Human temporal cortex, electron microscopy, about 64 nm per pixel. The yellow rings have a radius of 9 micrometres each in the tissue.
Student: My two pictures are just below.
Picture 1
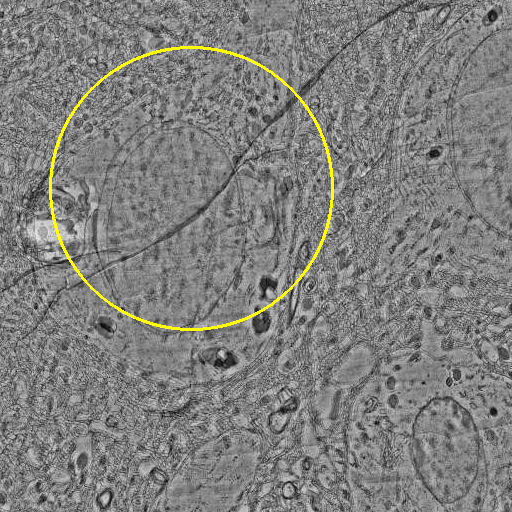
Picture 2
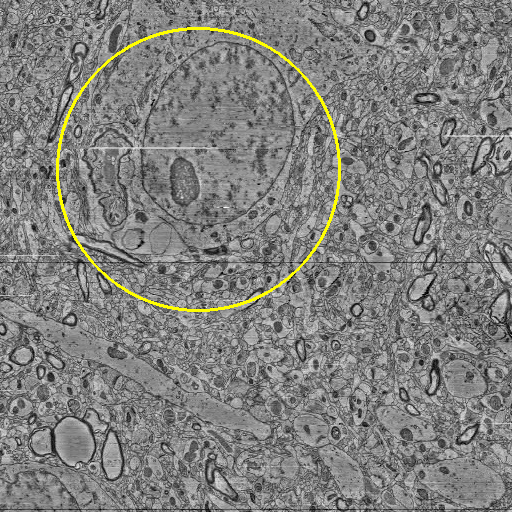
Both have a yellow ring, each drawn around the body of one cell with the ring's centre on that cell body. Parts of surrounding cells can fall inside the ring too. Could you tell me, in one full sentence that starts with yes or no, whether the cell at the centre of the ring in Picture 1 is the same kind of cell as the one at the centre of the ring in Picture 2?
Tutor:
Yes, the two cells are of the same kind.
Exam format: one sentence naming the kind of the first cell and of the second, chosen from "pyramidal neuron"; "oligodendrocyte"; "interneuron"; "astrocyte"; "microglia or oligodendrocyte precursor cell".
In the first picture and in the second, the ring is centred on a pyramidal neuron.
